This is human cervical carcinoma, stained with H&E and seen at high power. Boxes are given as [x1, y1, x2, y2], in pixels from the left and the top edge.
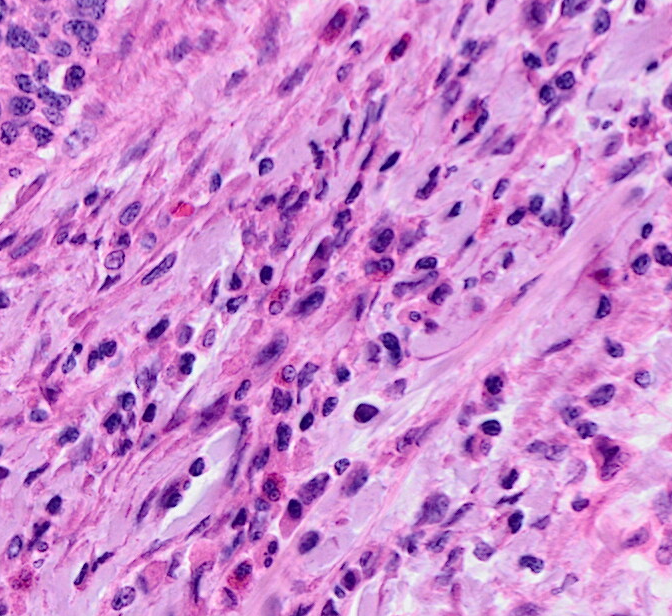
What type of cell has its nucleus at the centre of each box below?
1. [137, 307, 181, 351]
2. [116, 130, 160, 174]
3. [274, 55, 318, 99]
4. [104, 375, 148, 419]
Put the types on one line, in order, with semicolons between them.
lymphocyte; fibroblast; fibroblast; lymphocyte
